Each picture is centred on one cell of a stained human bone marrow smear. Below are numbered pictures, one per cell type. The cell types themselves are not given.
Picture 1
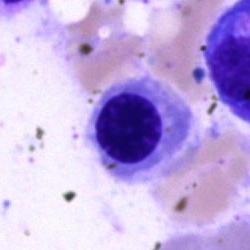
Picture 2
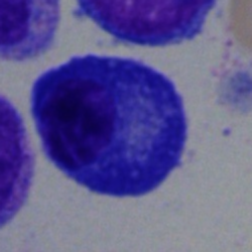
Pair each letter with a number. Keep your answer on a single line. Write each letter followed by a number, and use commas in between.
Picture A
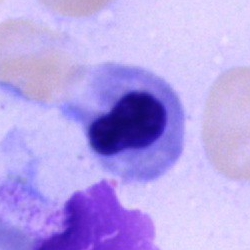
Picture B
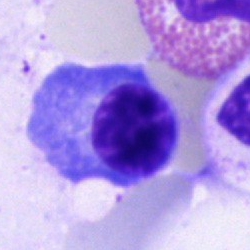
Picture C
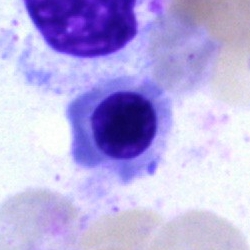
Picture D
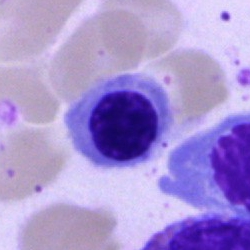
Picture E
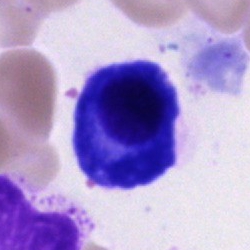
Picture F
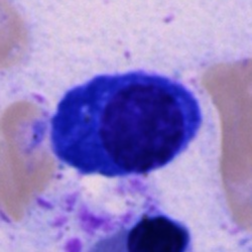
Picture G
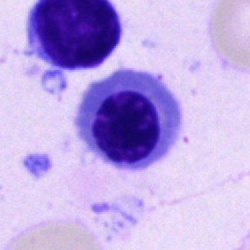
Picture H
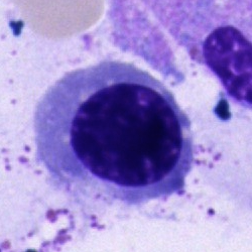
A 1, B 2, C 1, D 1, E 2, F 2, G 1, H 1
